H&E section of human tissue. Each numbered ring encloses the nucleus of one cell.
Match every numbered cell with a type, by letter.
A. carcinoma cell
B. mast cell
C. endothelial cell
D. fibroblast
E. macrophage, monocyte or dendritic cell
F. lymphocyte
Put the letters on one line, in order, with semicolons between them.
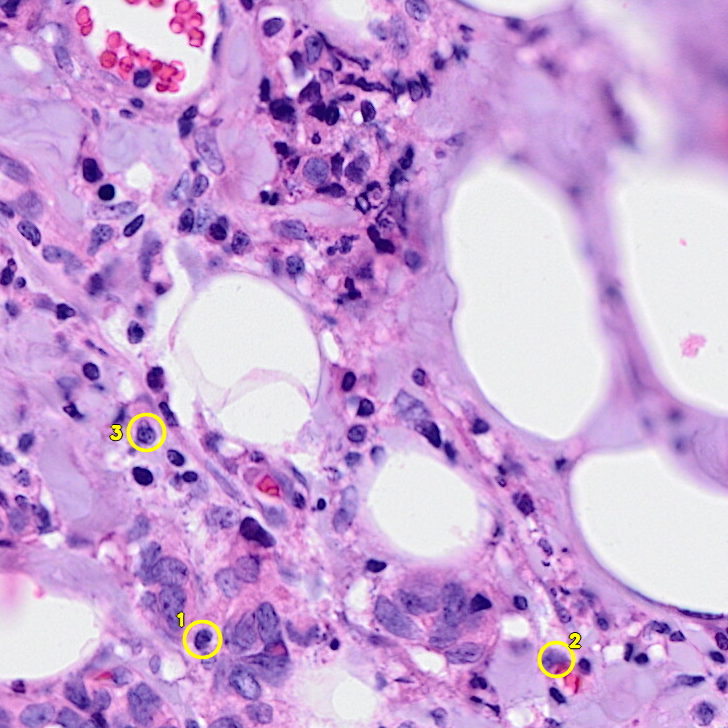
F; C; F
